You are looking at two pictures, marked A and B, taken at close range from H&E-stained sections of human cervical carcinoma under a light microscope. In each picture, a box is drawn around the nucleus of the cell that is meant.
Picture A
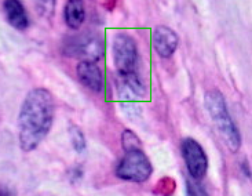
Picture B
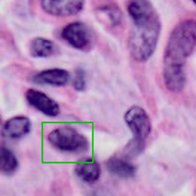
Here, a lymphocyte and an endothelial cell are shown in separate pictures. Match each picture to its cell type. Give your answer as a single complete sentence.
The cell in picture A is an endothelial cell, and the one in picture B is a lymphocyte.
